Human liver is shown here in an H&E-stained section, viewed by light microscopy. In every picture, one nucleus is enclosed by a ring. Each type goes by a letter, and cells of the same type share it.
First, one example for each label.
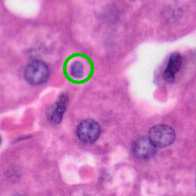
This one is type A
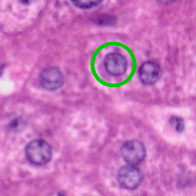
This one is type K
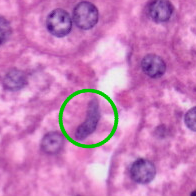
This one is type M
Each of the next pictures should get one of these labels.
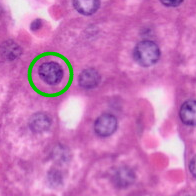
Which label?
type K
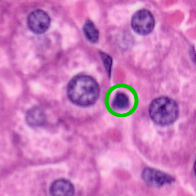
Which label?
type A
